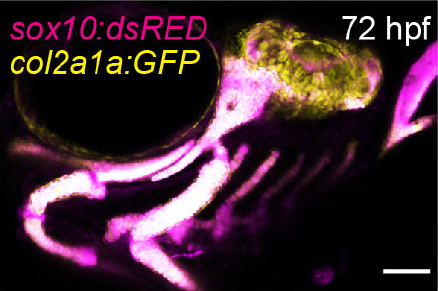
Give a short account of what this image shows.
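Lateral view of the head showing the facial cartilages as a set of bright magenta, elongated rod-like elements arranged in roughly parallel arches below and behind the large dark round eye. More posterior arches are thinner and fainter than the anterior ones. Above and behind the eye, a rounded cluster shows yellow-green signal with a granular texture.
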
